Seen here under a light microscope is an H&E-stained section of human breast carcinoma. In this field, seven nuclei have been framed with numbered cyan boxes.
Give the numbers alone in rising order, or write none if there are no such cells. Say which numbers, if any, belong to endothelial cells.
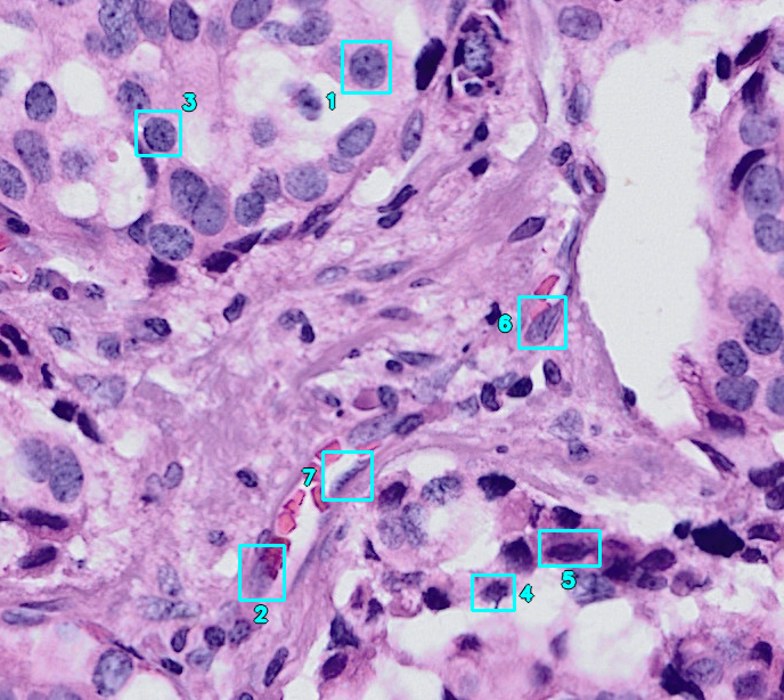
2, 6, 7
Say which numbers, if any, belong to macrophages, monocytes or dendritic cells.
none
